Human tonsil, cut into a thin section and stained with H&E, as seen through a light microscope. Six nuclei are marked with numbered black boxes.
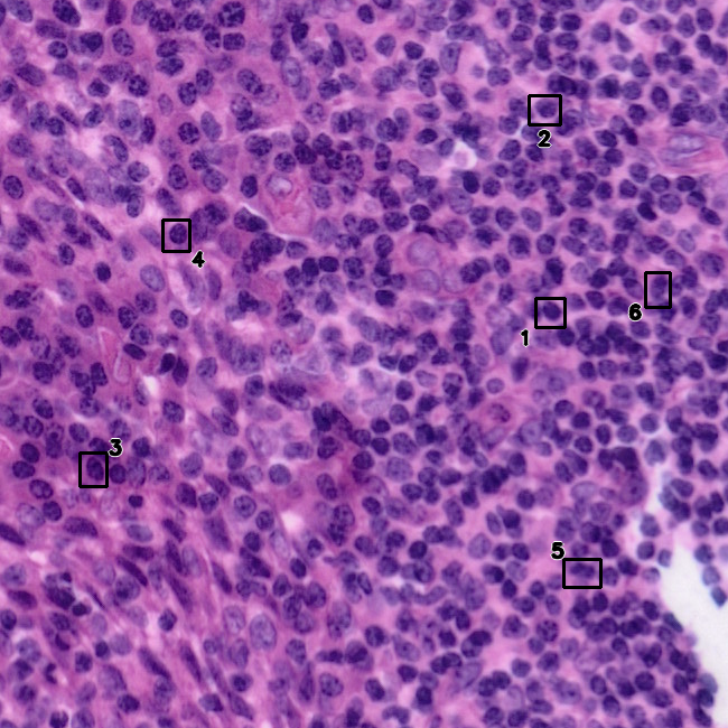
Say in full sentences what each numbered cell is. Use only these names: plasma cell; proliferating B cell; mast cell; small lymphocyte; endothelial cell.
Cell 1 is a small lymphocyte, cell 2 is a small lymphocyte, cell 3 is a plasma cell, cell 4 is a plasma cell, cell 5 is a small lymphocyte and cell 6 is a small lymphocyte.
